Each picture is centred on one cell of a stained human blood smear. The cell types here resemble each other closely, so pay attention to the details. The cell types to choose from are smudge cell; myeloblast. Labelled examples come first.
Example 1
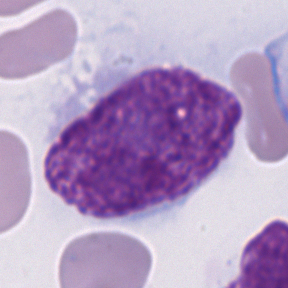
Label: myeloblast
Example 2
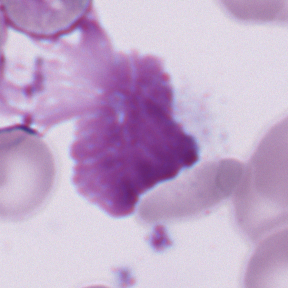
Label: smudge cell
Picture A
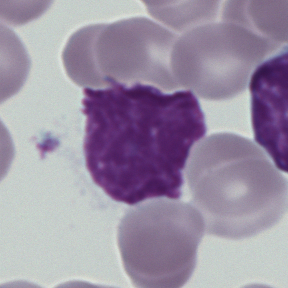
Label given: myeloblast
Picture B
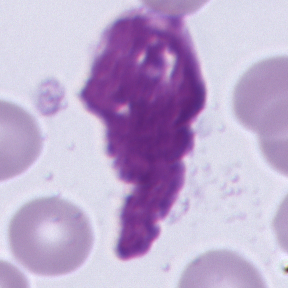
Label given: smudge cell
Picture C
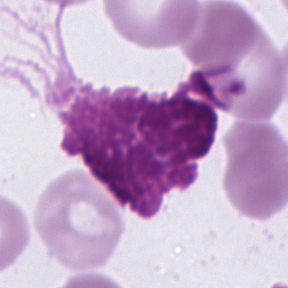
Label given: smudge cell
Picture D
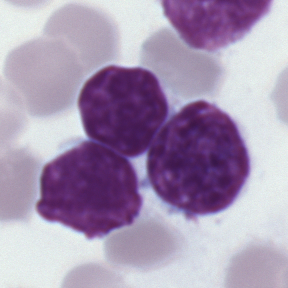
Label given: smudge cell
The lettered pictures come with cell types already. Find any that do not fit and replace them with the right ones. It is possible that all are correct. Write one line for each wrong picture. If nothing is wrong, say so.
A is labelled myeloblast; correct label: smudge cell
D is labelled smudge cell; correct label: myeloblast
